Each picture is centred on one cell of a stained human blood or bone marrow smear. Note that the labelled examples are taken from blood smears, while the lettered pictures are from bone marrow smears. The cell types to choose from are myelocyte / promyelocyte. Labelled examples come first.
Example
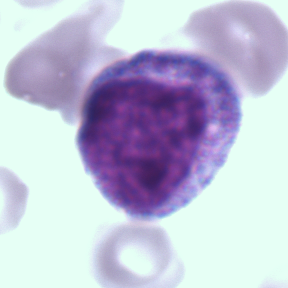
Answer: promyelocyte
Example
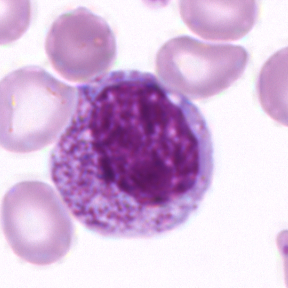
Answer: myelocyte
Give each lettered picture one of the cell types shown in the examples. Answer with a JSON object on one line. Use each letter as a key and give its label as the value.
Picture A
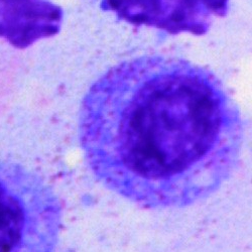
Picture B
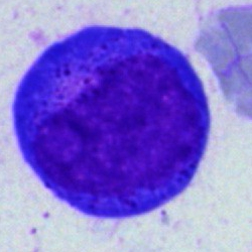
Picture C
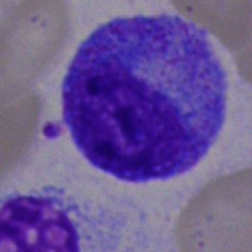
{"A": "myelocyte", "B": "promyelocyte", "C": "promyelocyte"}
